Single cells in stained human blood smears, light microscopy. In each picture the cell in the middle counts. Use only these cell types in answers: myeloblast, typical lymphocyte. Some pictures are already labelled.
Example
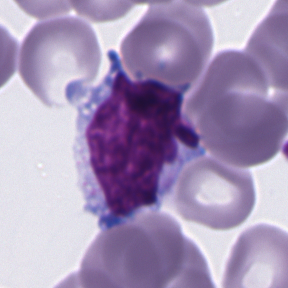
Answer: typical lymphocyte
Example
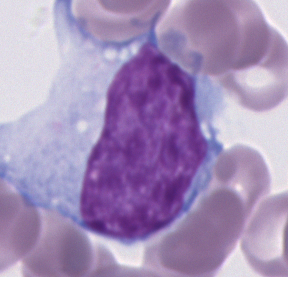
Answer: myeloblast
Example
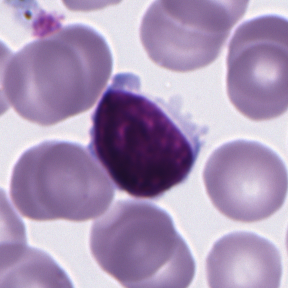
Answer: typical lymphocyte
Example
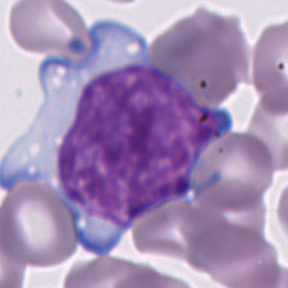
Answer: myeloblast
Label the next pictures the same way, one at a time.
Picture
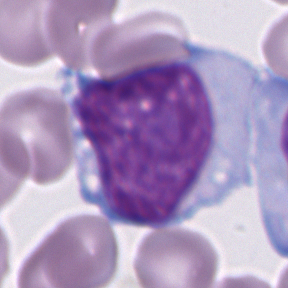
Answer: myeloblast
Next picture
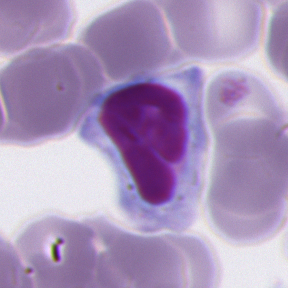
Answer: typical lymphocyte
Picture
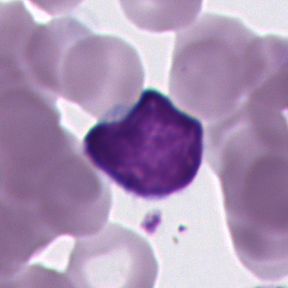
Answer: typical lymphocyte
